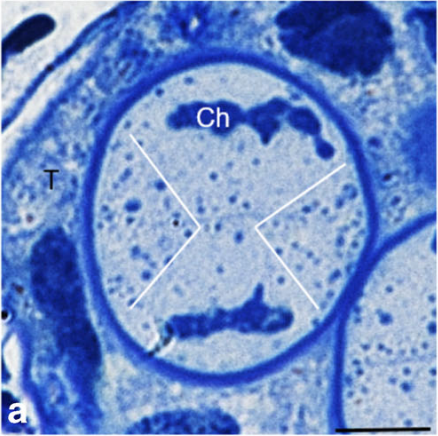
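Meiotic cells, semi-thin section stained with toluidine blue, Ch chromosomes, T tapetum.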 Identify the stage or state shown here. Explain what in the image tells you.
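Telophase I. A single rounded cell with a thick wall. Two condensed chromosome groups lie at opposite poles. No wall divides the cytoplasm between the two groups.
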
